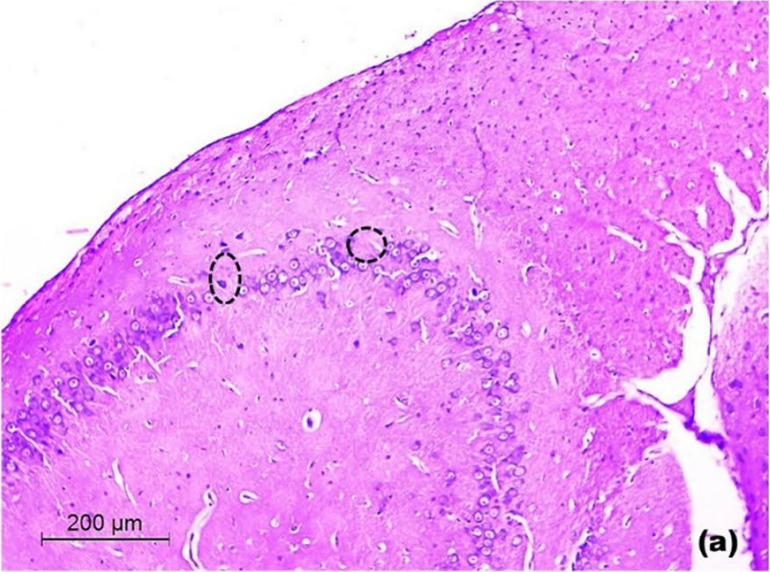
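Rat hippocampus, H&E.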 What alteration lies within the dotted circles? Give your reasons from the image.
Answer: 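The dotted circles lie on a curved band of neurons where the cells are sparse. The curved cell band is narrow and interrupted.
Conclusion: neuronal loss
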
